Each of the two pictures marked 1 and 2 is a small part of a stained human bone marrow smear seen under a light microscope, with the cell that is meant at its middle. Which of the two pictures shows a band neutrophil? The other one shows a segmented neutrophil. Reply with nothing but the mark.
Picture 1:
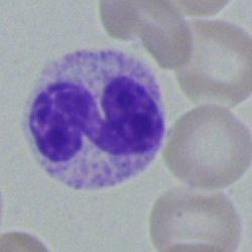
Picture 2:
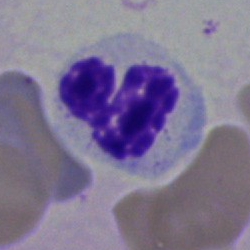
1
